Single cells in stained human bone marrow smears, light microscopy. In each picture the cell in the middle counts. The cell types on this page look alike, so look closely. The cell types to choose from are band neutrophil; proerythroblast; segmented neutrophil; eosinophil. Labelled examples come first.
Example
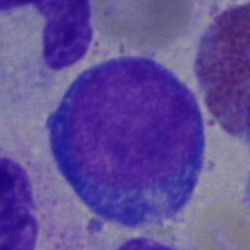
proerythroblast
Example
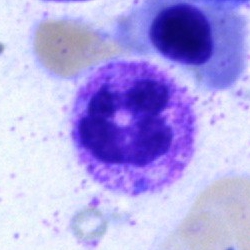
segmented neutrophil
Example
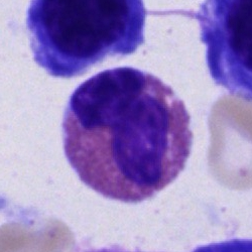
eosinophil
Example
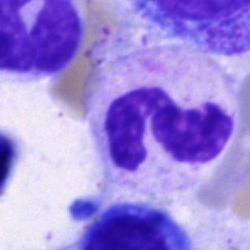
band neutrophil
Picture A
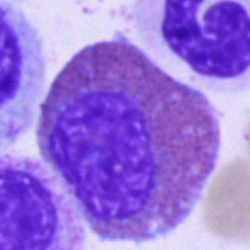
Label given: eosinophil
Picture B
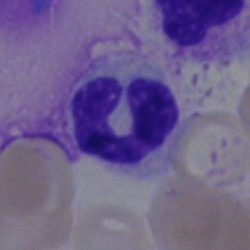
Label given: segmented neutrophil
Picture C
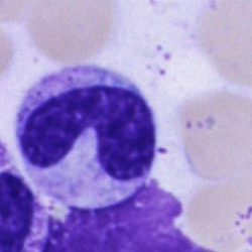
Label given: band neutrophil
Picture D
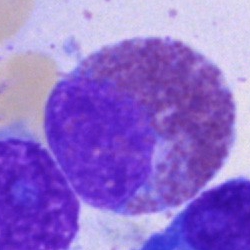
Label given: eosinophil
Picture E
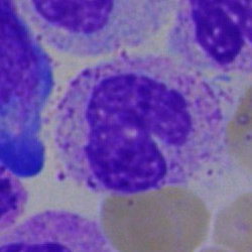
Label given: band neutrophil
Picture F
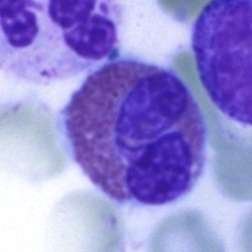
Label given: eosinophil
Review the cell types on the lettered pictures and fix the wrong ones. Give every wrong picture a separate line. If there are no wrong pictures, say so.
All correct.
